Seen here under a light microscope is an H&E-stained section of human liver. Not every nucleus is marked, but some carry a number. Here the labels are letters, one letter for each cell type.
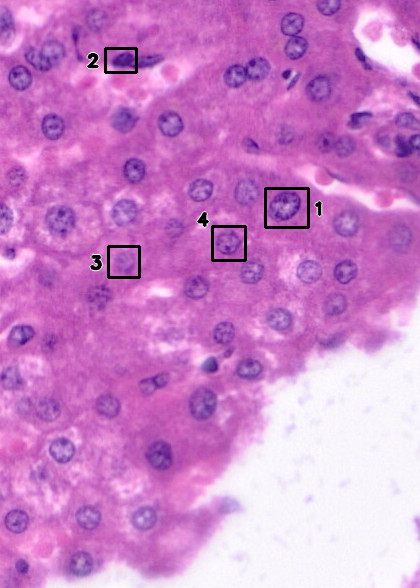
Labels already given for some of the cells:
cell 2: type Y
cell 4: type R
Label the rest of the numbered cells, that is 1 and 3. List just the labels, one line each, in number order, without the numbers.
type R
type R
